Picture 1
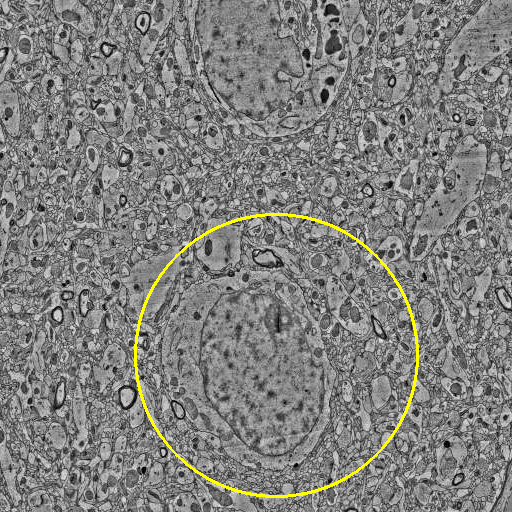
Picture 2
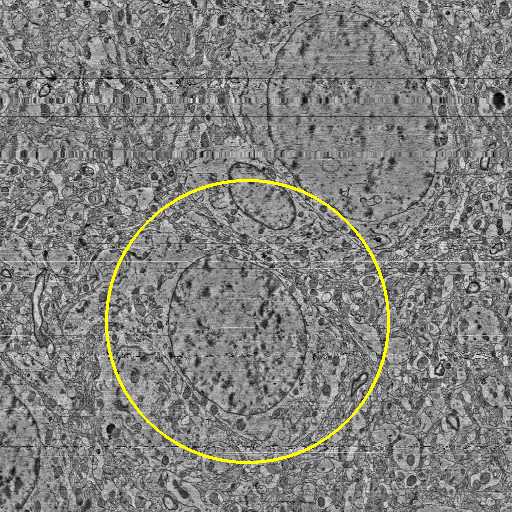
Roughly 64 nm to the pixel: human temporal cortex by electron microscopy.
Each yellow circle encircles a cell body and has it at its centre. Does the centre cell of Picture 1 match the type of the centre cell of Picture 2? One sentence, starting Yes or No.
No, the cell centred in Picture 1 and the one in Picture 2 have separate types.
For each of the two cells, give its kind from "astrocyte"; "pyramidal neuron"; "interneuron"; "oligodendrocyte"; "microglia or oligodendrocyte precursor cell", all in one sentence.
The first picture has an interneuron in its ring, the second has a pyramidal neuron.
